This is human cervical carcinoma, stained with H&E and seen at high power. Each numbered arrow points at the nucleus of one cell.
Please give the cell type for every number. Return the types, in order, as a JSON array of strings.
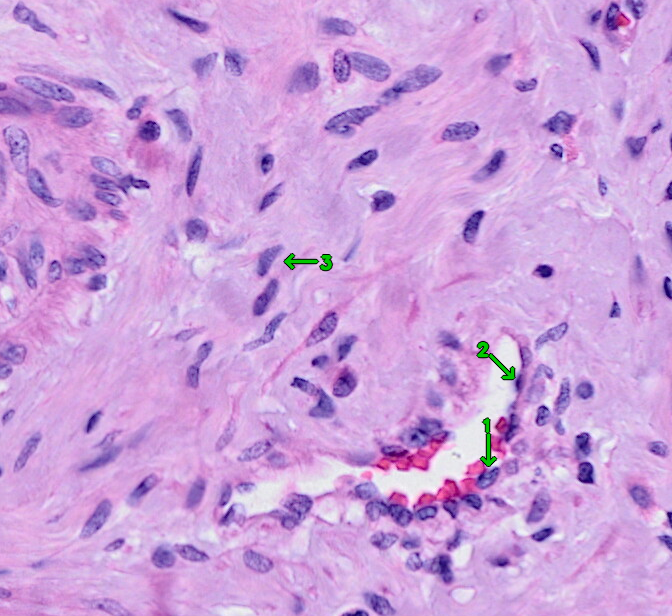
["endothelial cell", "endothelial cell", "fibroblast"]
